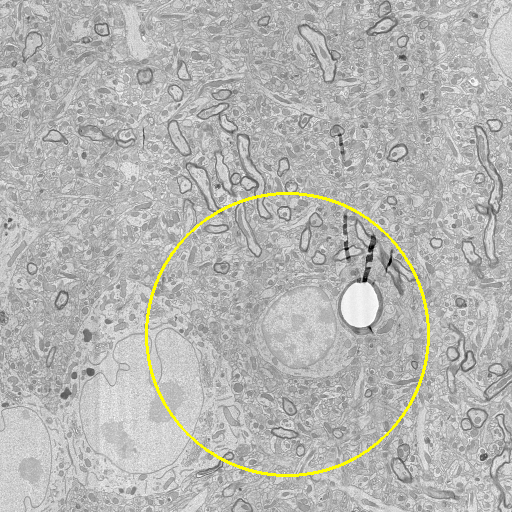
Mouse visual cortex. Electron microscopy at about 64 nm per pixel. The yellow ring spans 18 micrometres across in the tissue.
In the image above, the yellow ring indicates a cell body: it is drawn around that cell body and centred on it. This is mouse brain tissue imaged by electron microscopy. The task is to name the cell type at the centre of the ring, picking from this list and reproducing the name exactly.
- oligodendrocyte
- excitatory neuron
oligodendrocyte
